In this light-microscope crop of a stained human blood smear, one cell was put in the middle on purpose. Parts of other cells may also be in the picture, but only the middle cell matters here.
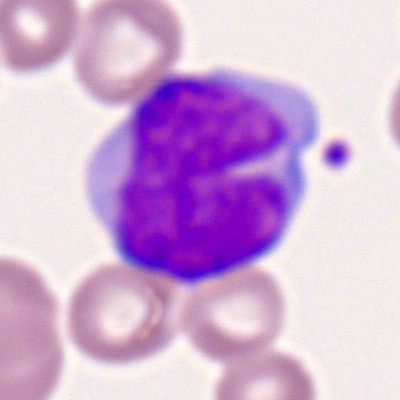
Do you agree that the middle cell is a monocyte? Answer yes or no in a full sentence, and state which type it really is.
Yes, the cell that the crop is centred on is a monocyte.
